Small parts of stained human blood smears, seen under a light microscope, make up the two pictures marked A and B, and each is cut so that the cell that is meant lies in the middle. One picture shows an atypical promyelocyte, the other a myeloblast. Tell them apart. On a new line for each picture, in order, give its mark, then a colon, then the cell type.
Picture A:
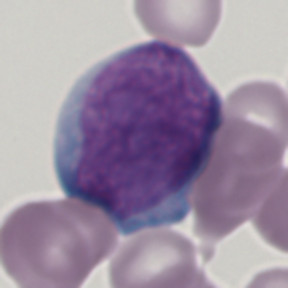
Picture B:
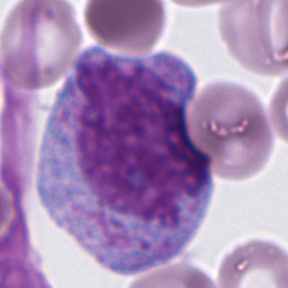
A: myeloblast
B: atypical promyelocyte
